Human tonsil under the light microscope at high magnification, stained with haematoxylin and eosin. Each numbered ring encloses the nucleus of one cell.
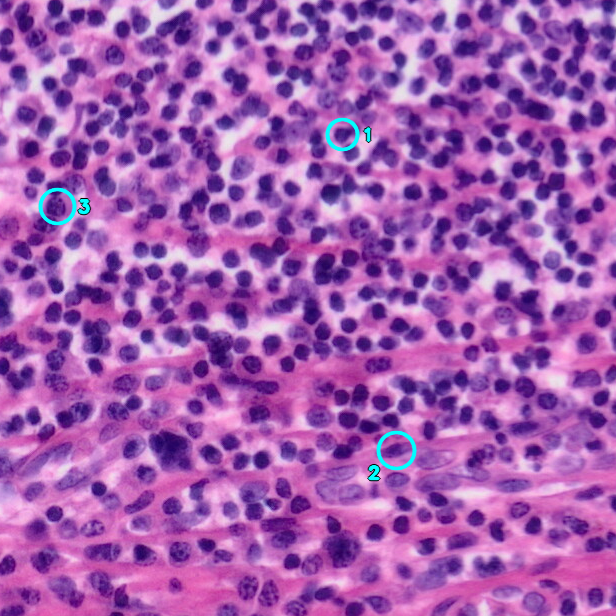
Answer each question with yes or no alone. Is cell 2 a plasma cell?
no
